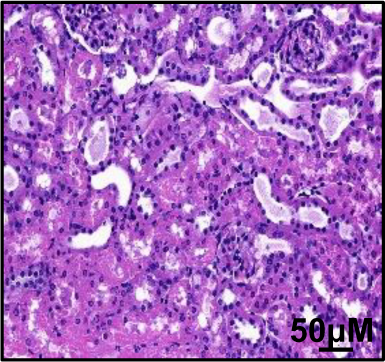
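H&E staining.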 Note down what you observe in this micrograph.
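Kidney cortex in a section stained pink and purple shows glomeruli, seen as rounded tufts of purple nuclei, among tubules that are irregular in form. Many tubules have widened, pale, empty-looking lumens lined by thinned epithelium, and some lining cells appear vacuolated or lost. Compared with an orderly cortex, the tubular profiles are uneven in size, with scattered clear spaces interrupting the pink parenchyma, while other tubules retain cuboidal cells with pink cytoplasm and purple nuclei.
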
